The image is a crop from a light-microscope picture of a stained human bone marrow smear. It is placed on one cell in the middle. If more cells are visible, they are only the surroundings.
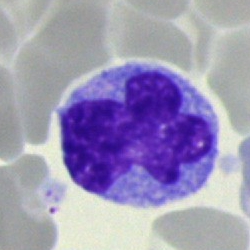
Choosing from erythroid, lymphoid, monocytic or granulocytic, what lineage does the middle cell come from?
monocytic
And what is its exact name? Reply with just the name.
monocyte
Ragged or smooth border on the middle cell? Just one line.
The outline traces a smooth curve with no projections along it.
